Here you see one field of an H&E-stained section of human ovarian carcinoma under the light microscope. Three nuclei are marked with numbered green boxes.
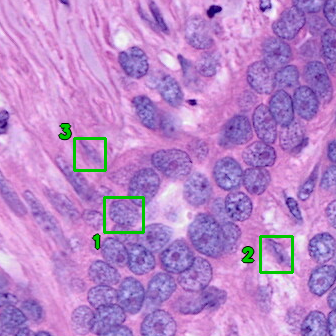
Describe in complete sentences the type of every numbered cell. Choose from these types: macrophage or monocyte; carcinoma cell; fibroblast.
Cell 1 is a carcinoma cell. Cells 2 and 3 are fibroblasts.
